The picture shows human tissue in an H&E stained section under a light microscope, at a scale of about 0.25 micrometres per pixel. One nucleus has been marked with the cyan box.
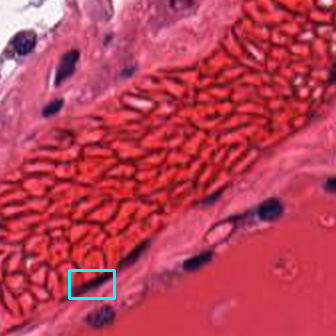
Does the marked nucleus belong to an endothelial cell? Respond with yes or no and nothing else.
yes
